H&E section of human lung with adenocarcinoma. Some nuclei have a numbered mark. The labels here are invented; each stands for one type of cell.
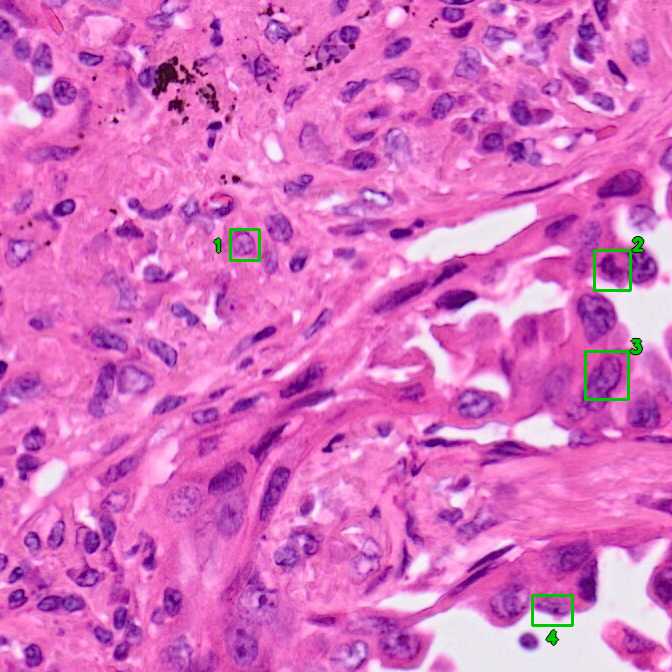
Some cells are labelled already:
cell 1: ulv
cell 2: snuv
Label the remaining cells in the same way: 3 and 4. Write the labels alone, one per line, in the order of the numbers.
snuv
snuv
